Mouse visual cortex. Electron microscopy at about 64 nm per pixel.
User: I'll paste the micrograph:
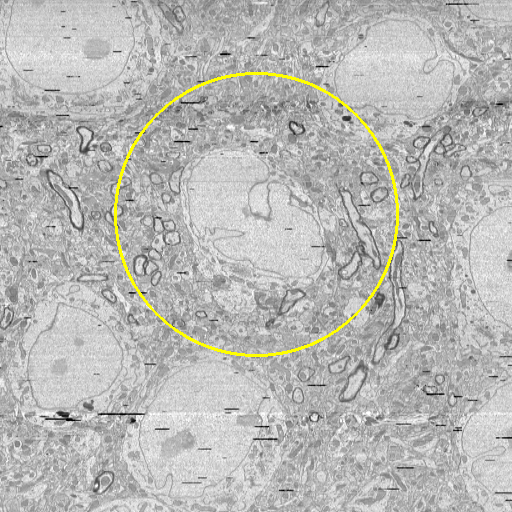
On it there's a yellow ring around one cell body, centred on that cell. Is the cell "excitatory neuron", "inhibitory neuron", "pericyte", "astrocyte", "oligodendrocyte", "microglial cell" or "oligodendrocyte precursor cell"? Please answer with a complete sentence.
The cell ringed in yellow is an inhibitory neuron.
